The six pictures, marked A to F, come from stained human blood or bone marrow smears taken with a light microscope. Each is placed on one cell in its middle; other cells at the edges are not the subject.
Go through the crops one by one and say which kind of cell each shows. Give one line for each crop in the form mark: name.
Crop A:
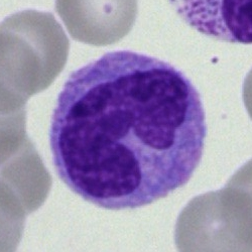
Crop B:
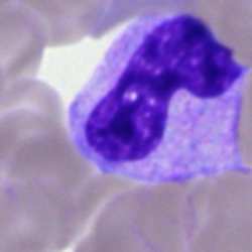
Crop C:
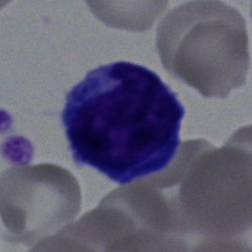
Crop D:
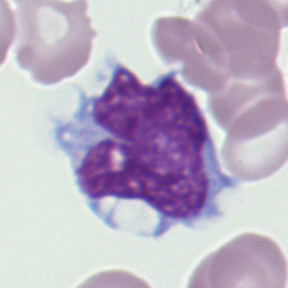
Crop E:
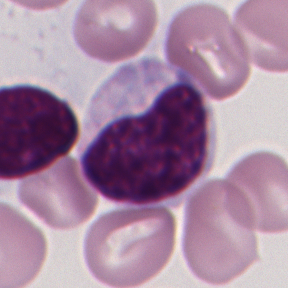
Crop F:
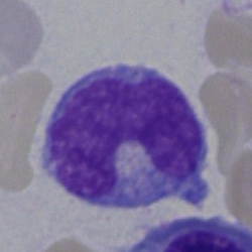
A: monocyte
B: band neutrophil
C: lymphocyte
D: monocyte
E: band neutrophil
F: monocyte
